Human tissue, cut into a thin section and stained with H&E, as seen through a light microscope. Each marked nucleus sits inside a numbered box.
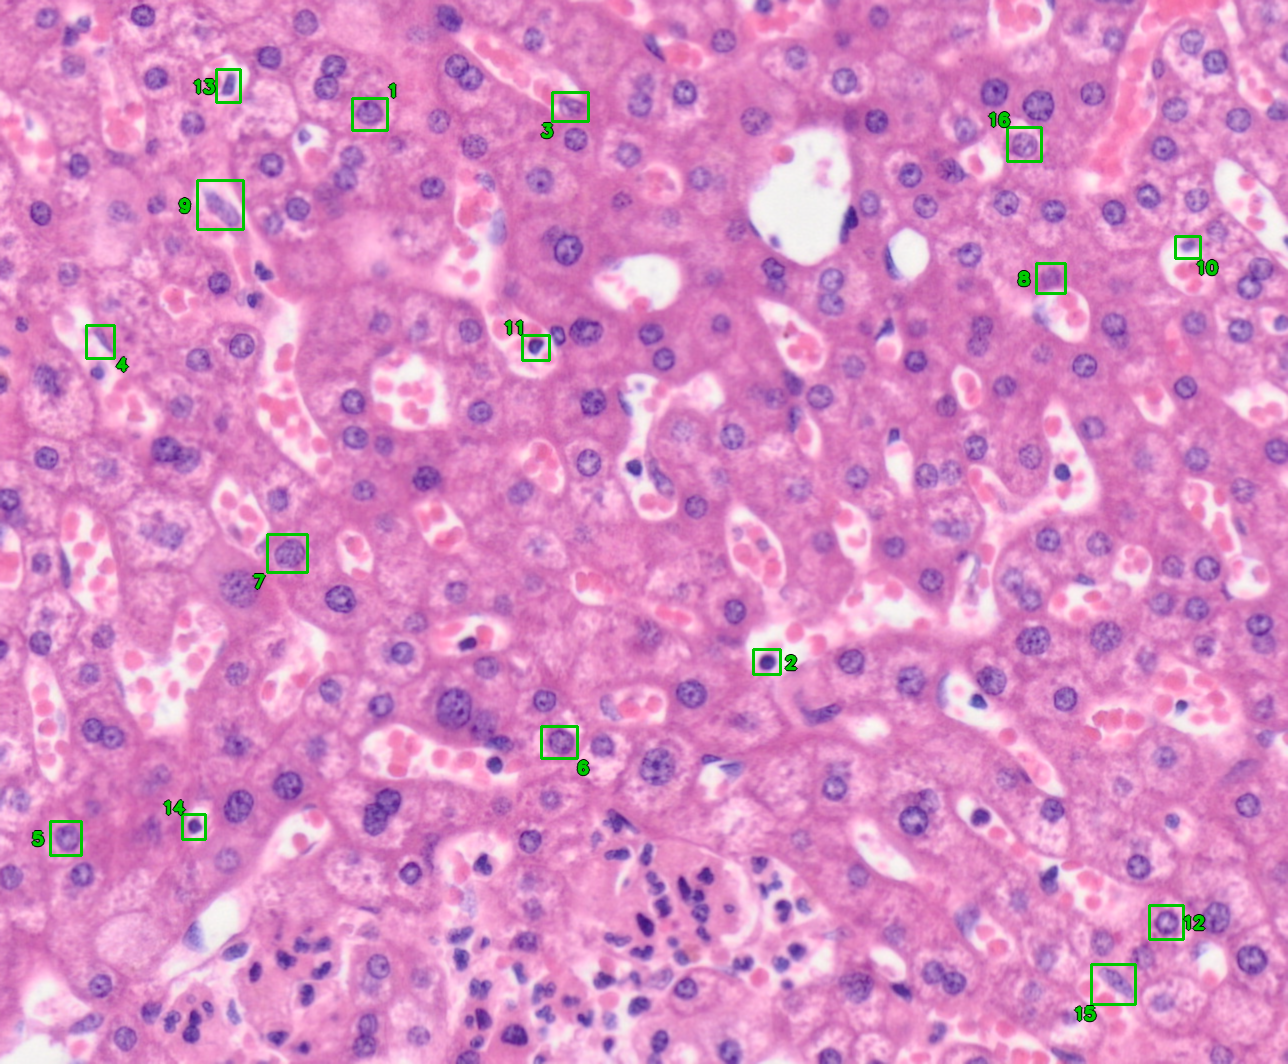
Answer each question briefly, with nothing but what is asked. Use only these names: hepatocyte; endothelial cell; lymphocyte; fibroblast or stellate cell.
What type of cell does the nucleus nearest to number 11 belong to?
fibroblast or stellate cell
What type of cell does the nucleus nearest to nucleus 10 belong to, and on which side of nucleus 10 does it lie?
a hepatocyte, above and to the right of nucleus 10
